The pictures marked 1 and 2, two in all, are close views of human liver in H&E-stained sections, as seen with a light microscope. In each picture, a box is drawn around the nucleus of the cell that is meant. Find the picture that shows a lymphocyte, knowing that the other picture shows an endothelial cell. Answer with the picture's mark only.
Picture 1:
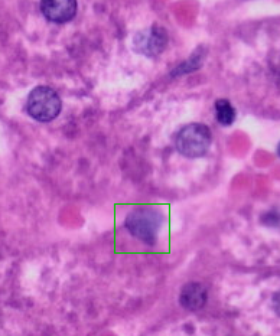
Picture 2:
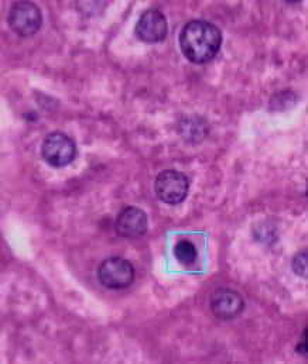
2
